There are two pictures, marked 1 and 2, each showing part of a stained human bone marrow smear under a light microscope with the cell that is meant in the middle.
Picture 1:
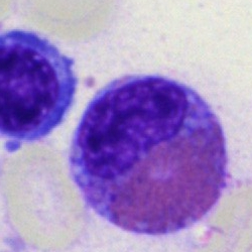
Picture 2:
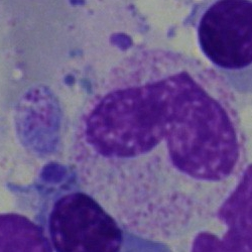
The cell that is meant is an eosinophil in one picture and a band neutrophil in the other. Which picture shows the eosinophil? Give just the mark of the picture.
1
